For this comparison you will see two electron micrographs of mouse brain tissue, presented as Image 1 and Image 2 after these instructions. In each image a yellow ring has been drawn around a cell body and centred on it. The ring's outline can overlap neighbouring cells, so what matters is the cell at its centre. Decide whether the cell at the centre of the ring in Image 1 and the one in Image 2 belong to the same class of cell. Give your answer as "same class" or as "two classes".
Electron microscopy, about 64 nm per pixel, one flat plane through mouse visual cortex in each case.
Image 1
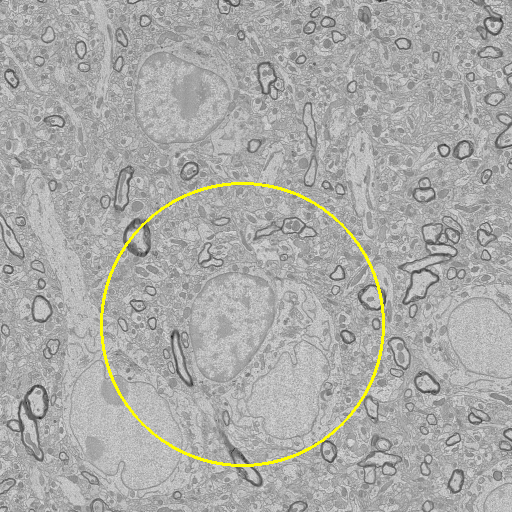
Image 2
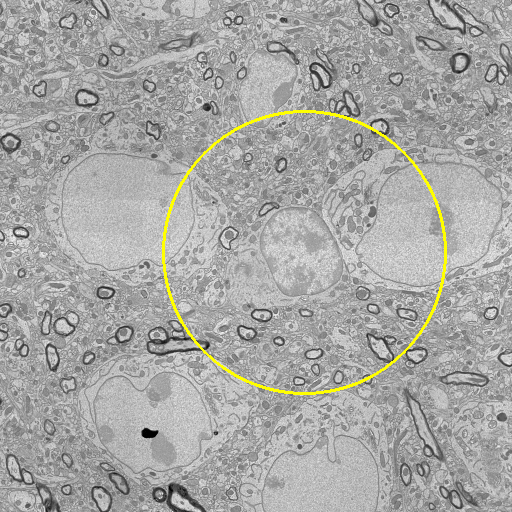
same class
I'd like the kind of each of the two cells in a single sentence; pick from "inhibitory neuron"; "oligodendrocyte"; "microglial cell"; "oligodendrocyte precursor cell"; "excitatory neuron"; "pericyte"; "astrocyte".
Both rings mark an oligodendrocyte, one in each picture.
